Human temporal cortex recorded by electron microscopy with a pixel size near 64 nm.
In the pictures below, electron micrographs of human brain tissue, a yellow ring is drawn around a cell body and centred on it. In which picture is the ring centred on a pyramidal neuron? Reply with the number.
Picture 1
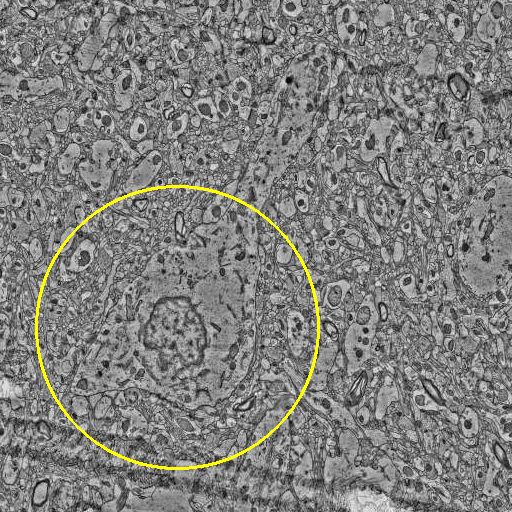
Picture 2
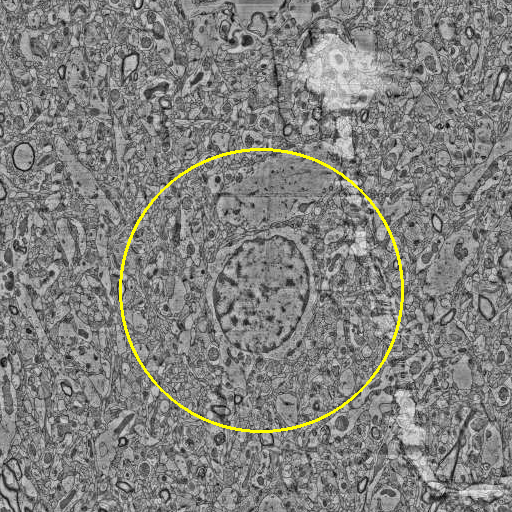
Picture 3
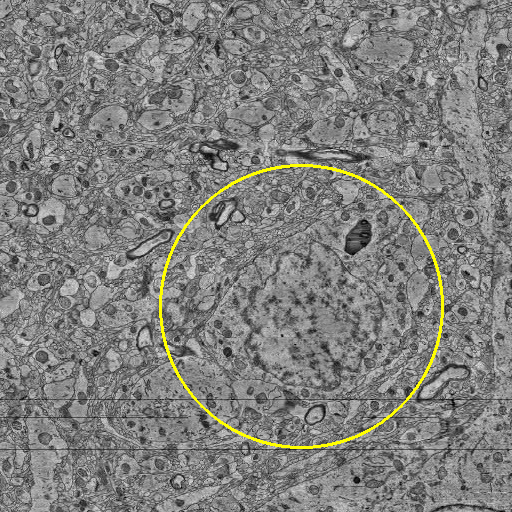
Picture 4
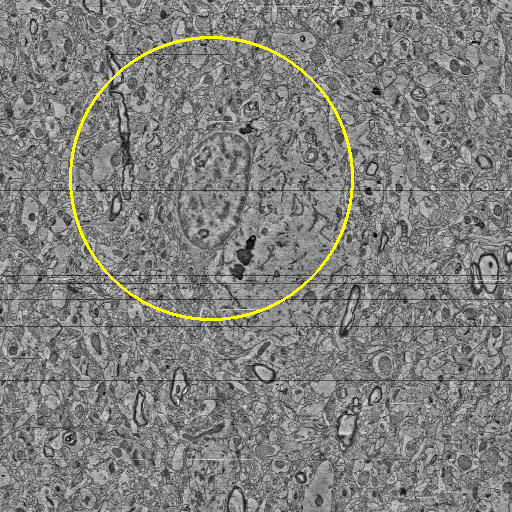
1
